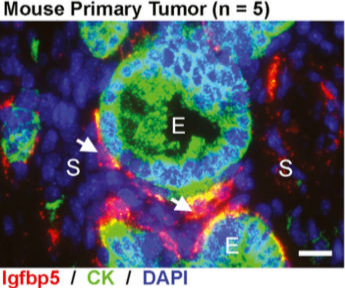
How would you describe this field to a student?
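Rounded nests of tumor epithelium, their cells filled with green cytoplasm and packed blue nuclei, sit within looser surrounding stroma whose scattered blue nuclei have little green around them. One nest has a central space holding green material. The red signal does not fill the nests but runs as a thin band along their outer edge, where the epithelium meets the stroma, with a little more red scattered in the stroma. The red thus marks the border zone between the epithelial nests and the stroma rather than the nest interiors.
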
